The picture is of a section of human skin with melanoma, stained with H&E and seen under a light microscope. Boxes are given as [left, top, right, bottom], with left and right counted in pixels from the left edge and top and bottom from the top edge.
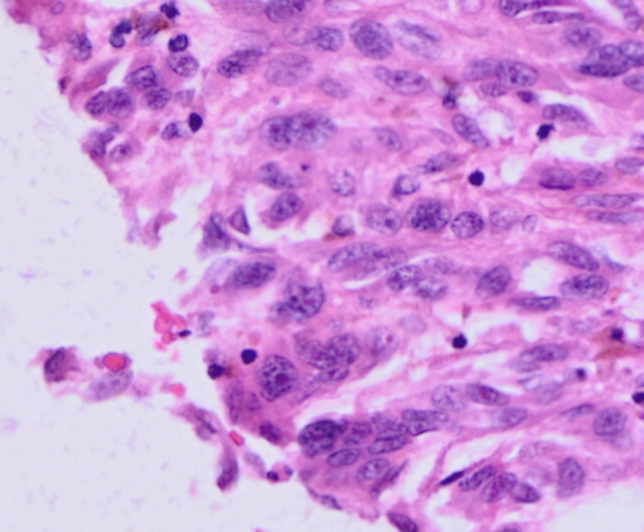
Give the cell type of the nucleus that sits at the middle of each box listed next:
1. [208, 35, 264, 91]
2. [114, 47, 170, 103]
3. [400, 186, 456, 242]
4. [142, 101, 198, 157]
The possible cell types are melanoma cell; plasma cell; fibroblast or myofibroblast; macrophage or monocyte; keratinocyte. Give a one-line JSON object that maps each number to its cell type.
{"1": "melanoma cell", "2": "melanoma cell", "3": "melanoma cell", "4": "macrophage or monocyte"}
